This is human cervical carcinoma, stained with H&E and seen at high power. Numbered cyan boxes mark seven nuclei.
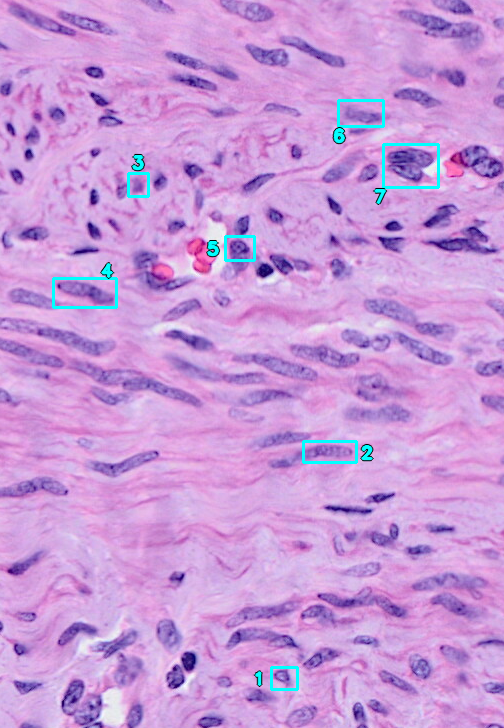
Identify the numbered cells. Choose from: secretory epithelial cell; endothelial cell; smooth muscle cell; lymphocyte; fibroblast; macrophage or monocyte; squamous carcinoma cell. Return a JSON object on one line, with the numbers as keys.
{"1": "smooth muscle cell", "2": "smooth muscle cell", "3": "smooth muscle cell", "4": "smooth muscle cell", "5": "endothelial cell", "6": "fibroblast", "7": "endothelial cell"}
